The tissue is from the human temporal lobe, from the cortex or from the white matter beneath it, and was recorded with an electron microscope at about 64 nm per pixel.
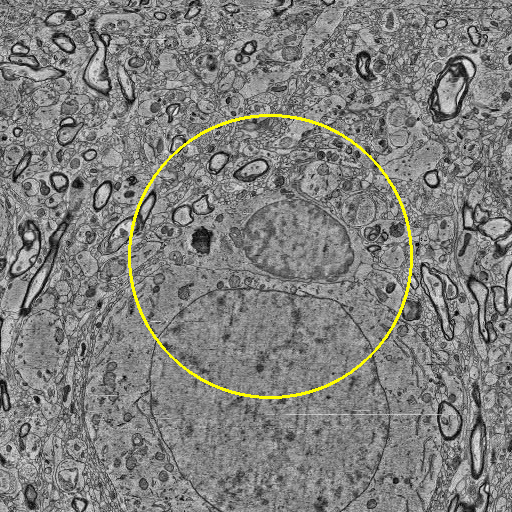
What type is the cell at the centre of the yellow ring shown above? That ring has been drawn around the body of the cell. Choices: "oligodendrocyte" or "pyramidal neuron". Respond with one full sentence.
My answer is that an oligodendrocyte lies at the centre of the yellow ring above.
